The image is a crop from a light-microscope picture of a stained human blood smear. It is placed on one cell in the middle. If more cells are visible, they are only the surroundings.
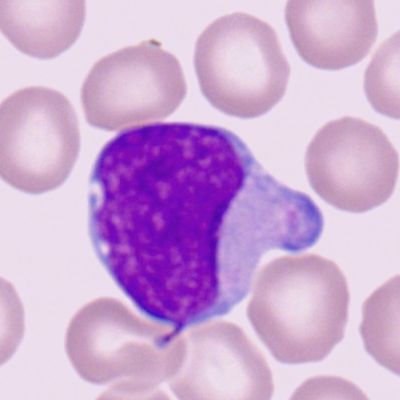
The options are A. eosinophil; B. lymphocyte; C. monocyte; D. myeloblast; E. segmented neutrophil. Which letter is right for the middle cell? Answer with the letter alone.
D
